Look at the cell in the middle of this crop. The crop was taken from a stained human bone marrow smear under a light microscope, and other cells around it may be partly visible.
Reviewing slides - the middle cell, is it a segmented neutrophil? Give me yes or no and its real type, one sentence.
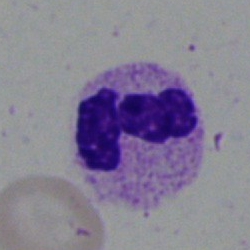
Yes, within this crop, the central cell is a segmented neutrophil.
